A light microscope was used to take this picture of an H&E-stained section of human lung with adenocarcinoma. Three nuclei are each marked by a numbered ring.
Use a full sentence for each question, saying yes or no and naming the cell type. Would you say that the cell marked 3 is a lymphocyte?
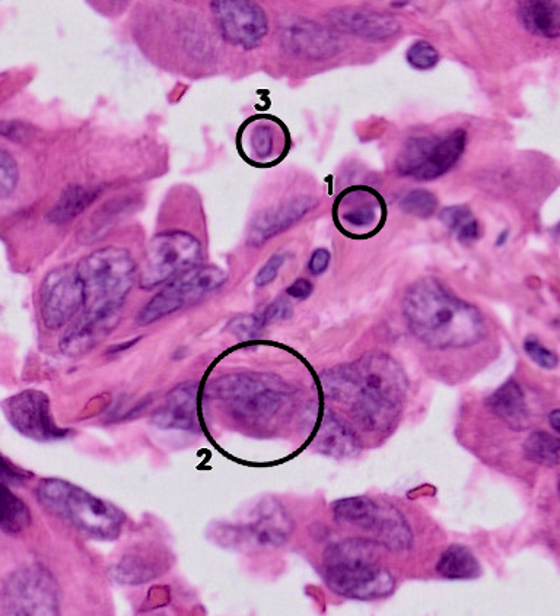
No, the correct answer for cell 3 is a macrophage or monocyte, not a lymphocyte.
